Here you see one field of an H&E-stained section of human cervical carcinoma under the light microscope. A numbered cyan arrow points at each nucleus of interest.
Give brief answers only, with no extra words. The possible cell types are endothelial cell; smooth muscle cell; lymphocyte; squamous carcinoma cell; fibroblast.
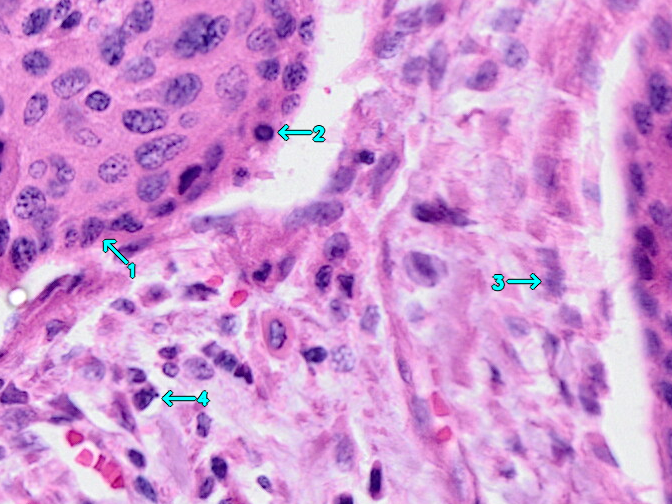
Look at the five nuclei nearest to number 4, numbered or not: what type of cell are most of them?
fibroblast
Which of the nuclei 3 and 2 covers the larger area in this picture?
3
